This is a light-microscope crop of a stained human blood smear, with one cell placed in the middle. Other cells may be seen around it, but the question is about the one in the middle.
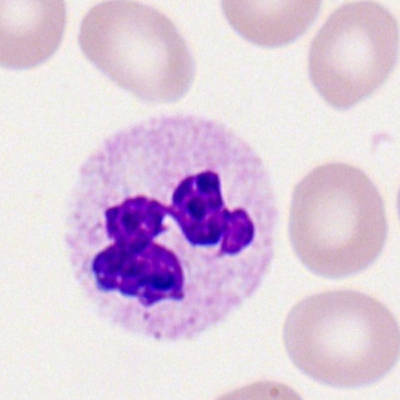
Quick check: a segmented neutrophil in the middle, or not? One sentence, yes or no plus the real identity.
Yes, the middle cell here is a segmented neutrophil.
